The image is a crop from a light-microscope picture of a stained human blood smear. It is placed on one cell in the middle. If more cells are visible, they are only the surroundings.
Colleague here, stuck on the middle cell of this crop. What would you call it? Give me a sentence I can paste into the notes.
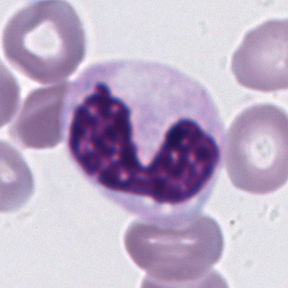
The cell centred in this crop is categorized as a band neutrophil.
